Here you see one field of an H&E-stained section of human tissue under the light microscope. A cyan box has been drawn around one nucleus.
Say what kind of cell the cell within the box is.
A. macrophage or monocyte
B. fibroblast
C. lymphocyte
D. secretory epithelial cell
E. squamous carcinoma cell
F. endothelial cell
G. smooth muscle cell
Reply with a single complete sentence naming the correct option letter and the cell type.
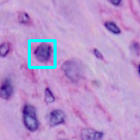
Option G, which has the cell within the box as a smooth muscle cell, is the correct choice.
